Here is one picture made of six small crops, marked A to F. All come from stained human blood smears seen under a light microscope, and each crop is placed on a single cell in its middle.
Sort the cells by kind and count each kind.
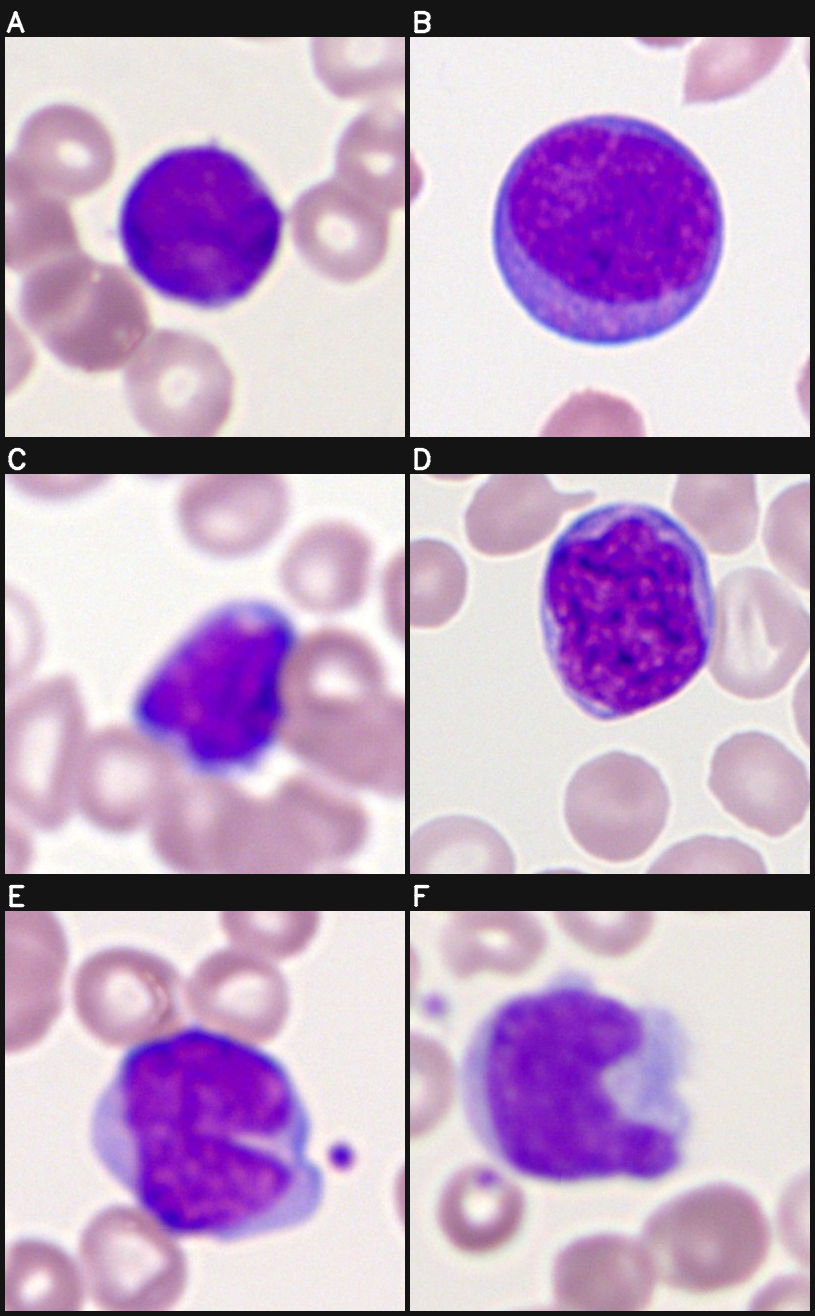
myeloblast: 4
monocyte: 2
